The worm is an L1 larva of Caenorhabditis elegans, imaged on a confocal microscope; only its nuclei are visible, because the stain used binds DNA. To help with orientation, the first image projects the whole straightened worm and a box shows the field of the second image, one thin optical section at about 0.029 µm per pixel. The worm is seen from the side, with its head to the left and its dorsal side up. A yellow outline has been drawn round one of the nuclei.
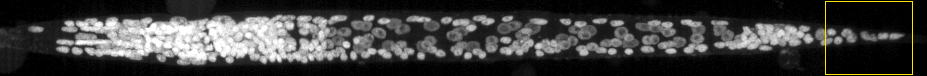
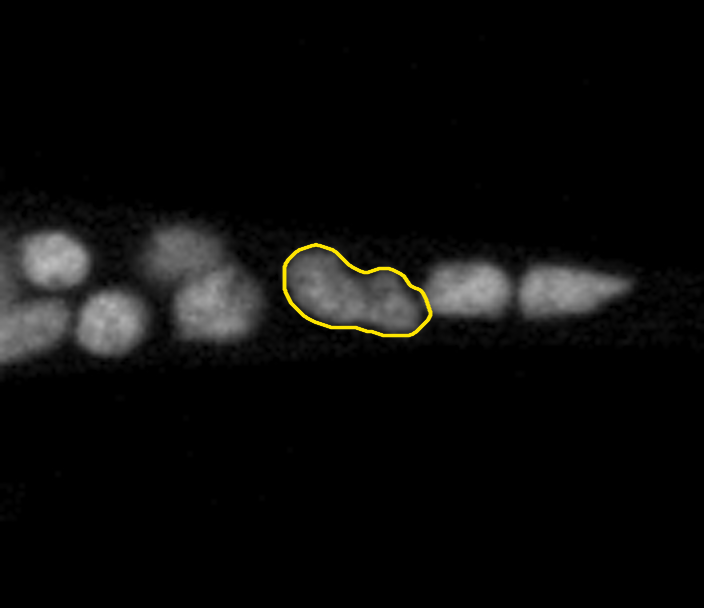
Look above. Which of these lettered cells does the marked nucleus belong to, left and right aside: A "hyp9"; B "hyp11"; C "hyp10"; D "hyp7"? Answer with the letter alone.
A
